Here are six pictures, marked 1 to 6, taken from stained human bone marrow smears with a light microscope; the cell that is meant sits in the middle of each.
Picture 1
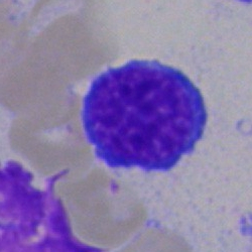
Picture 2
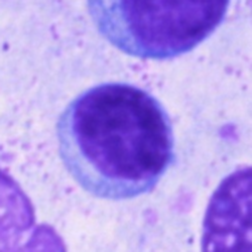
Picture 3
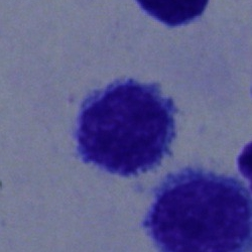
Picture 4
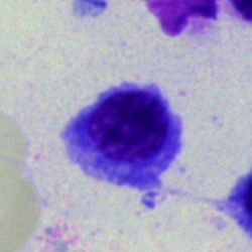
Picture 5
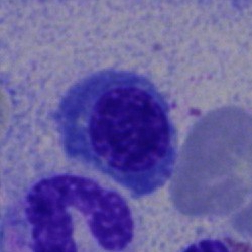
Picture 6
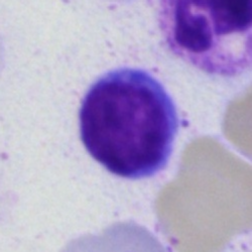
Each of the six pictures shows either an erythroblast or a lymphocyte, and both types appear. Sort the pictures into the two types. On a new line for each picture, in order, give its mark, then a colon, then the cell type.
1: lymphocyte
2: lymphocyte
3: lymphocyte
4: erythroblast
5: erythroblast
6: lymphocyte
